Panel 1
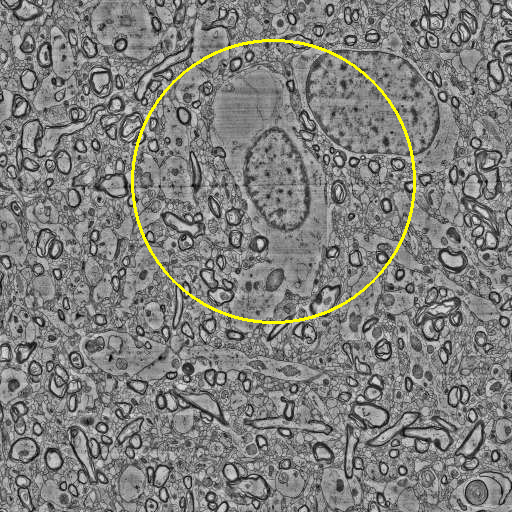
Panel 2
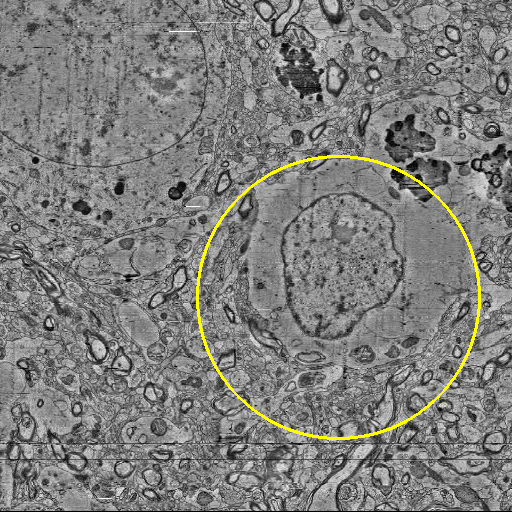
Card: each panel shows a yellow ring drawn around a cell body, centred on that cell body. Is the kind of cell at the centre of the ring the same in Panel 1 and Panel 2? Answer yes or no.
yes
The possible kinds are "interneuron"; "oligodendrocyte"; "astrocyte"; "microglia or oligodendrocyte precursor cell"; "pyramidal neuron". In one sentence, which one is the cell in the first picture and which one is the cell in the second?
Each cell at the centre of a ring is an astrocyte.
